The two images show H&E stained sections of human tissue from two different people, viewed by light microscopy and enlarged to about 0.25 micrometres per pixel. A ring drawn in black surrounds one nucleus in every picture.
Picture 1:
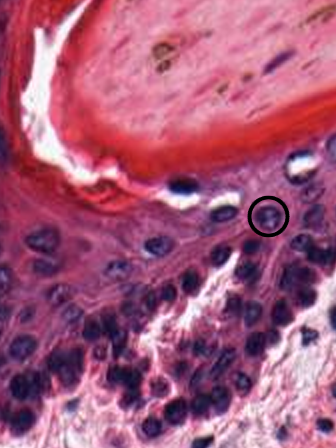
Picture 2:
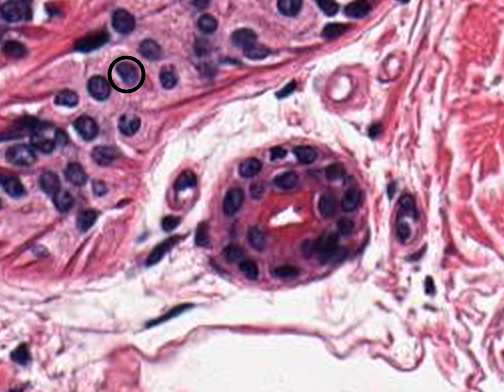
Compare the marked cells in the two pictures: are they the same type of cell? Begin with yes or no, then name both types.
No, the first is a keratinocyte and the second a sweat gland cell.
